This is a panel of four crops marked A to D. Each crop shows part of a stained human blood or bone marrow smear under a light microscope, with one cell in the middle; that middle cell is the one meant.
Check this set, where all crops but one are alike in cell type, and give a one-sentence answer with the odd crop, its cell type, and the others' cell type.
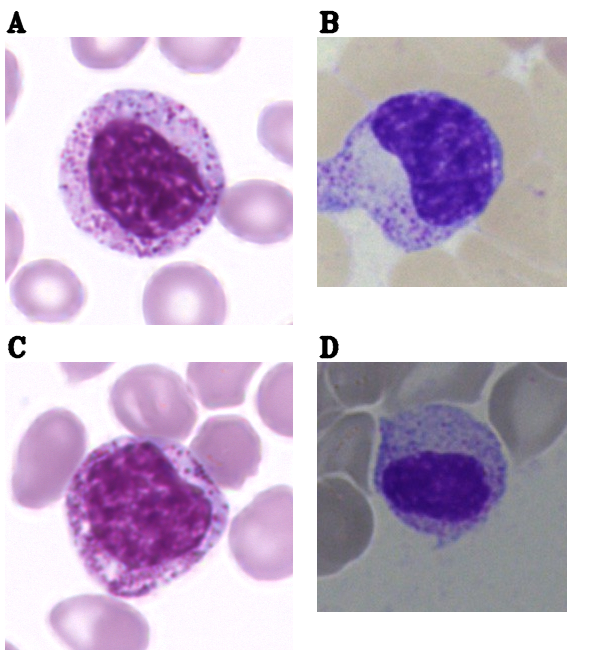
Crop B is singled out as a myelocyte, and all of the other crops show metamyelocytes.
